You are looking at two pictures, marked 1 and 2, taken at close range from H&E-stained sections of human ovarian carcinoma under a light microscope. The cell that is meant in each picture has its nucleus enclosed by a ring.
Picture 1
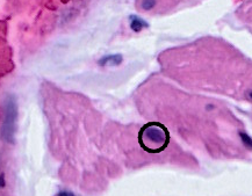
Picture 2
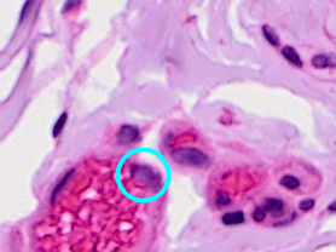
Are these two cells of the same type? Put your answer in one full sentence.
No, the types are not the same, since picture 1 shows a smooth muscle cell and picture 2 an endothelial cell.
